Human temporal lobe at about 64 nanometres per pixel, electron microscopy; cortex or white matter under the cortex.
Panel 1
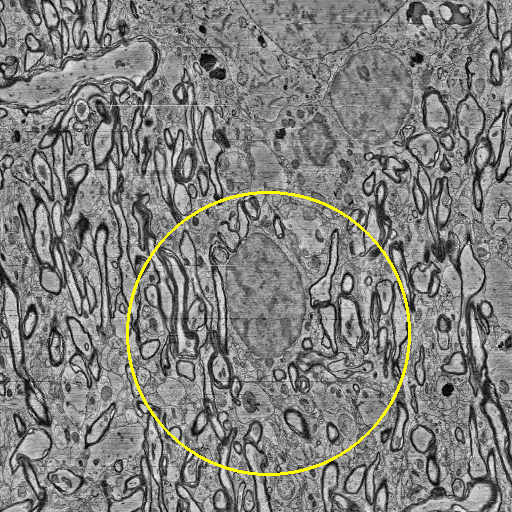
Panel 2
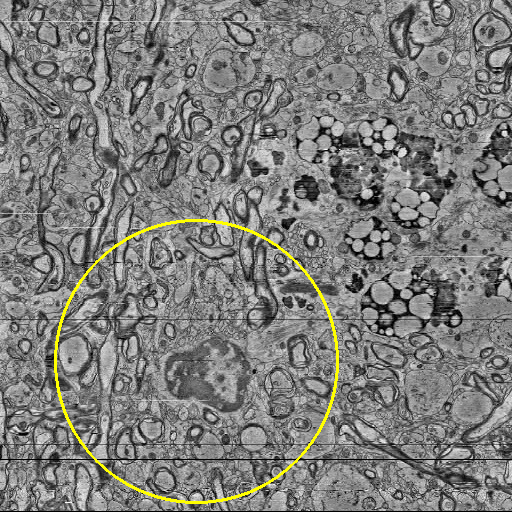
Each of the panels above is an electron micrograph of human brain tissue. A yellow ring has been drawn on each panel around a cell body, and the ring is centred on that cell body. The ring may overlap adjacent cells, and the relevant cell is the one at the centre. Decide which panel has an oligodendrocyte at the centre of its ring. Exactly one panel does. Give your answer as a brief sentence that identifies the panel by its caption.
Panel 1 is the one with it at the centre of the ring.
